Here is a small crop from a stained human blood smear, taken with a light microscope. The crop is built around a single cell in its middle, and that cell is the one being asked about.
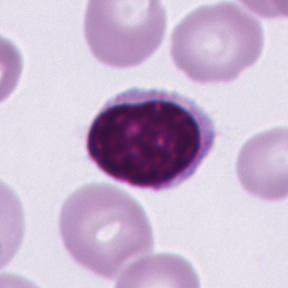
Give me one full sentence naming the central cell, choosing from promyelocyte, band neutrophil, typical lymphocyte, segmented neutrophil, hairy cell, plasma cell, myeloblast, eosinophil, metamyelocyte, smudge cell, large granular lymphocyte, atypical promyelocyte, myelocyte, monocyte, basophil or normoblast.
The cell found in the middle of this crop is a large granular lymphocyte.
